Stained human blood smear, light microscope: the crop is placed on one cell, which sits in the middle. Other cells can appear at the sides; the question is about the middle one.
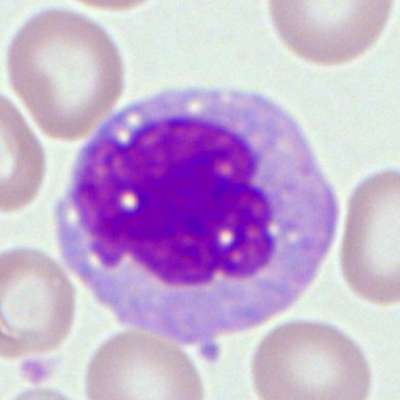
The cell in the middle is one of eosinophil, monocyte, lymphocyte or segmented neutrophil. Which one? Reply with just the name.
monocyte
